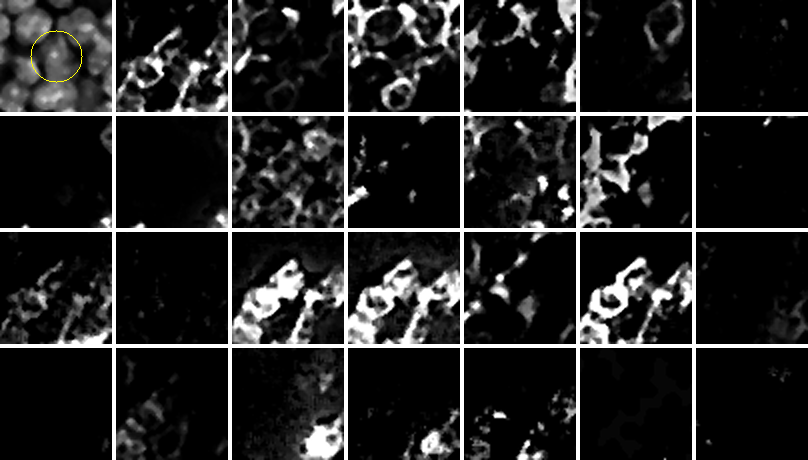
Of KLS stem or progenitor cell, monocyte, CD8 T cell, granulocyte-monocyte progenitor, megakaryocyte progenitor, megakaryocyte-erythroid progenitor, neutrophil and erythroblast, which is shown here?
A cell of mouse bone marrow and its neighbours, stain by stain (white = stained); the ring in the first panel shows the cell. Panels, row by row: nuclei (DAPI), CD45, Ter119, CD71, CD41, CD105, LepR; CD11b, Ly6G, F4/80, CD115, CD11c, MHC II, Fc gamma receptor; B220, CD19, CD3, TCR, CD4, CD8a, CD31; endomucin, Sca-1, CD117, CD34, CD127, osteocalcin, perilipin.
CD8 T cell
